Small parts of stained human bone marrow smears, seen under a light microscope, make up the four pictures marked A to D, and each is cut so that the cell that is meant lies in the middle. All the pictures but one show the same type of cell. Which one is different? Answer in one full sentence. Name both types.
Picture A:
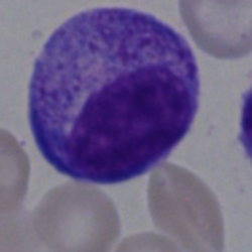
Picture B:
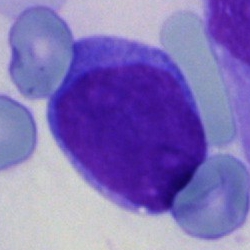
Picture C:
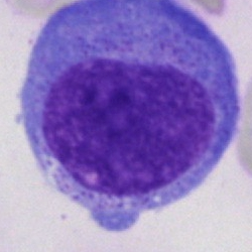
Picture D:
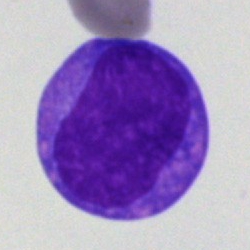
Picture A is the odd one out: it shows a promyelocyte, while the others show blasts.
